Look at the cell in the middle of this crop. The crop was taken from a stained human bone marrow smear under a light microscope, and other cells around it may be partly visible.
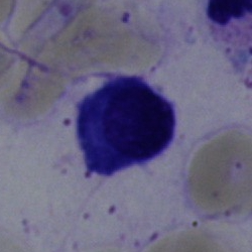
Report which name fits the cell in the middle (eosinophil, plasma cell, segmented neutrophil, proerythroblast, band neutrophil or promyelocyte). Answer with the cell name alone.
plasma cell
